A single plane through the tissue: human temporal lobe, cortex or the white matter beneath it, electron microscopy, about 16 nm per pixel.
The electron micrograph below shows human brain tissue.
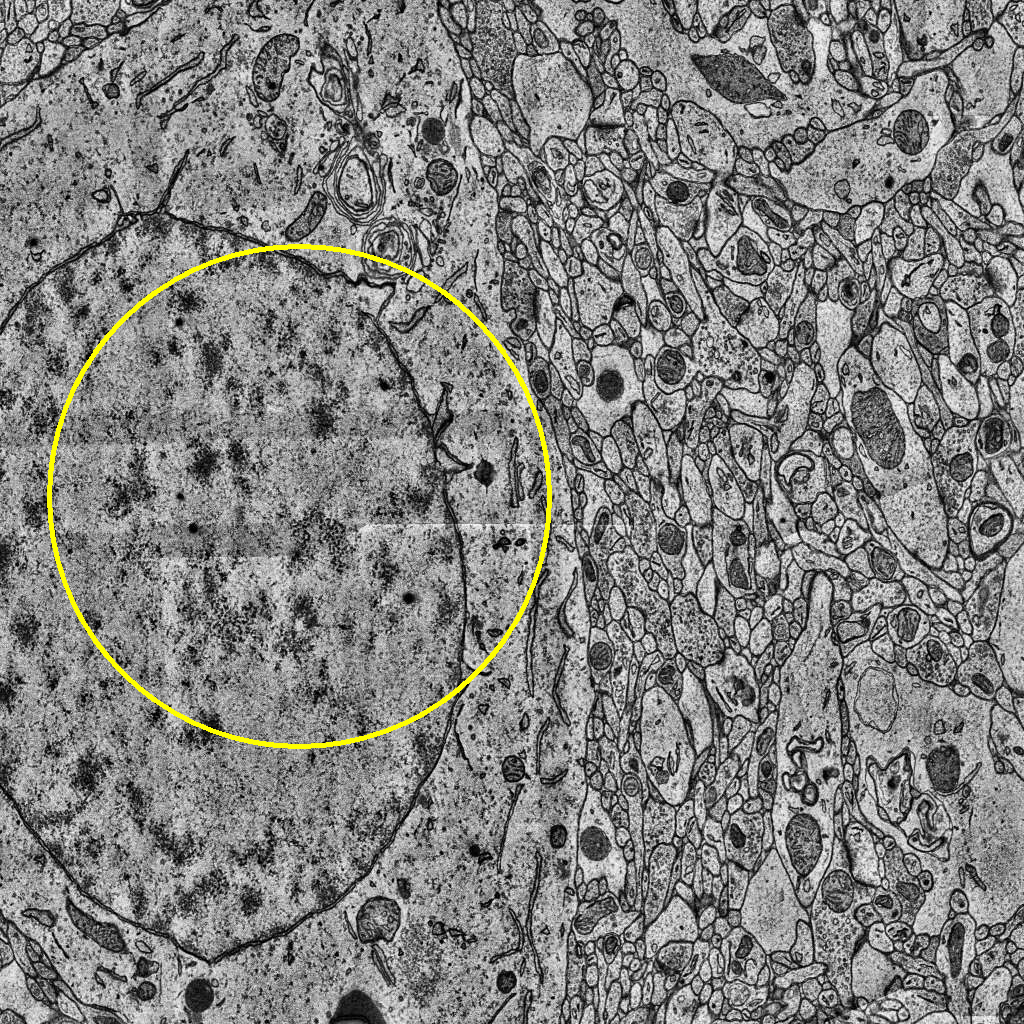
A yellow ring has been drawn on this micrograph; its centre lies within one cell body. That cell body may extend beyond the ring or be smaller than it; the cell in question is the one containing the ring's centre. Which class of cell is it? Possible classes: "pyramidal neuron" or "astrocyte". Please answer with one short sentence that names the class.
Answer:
In the centre of the ring sits a pyramidal neuron.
